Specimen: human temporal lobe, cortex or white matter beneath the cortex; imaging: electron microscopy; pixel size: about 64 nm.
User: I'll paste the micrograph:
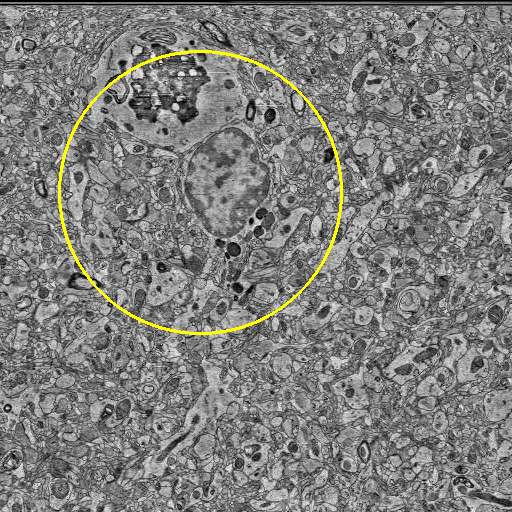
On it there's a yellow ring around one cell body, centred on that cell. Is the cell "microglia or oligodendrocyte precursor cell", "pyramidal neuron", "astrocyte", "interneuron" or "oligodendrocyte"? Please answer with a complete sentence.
The cell ringed in yellow is a microglial cell or oligodendrocyte precursor cell.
